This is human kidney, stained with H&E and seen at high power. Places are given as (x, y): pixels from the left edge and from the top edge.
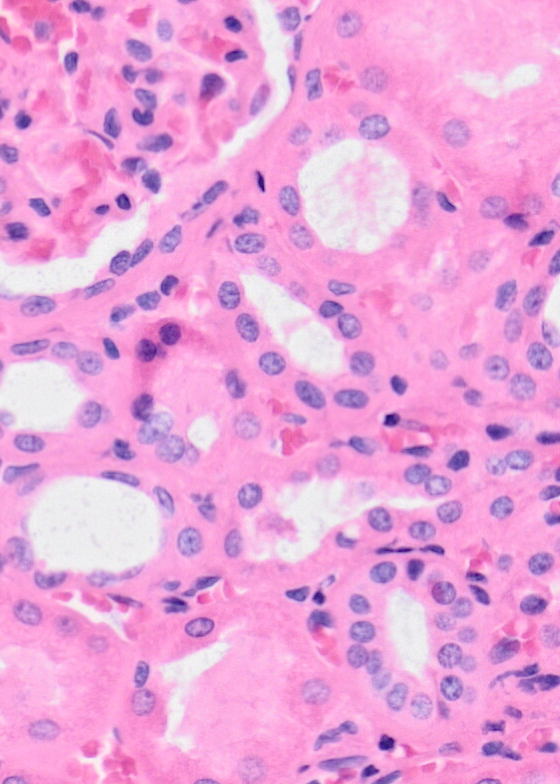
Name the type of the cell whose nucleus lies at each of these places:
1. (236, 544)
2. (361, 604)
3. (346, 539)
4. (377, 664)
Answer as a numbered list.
1. loop of Henle or distal tubule cell
2. collecting duct cell
3. loop of Henle or distal tubule cell
4. collecting duct cell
